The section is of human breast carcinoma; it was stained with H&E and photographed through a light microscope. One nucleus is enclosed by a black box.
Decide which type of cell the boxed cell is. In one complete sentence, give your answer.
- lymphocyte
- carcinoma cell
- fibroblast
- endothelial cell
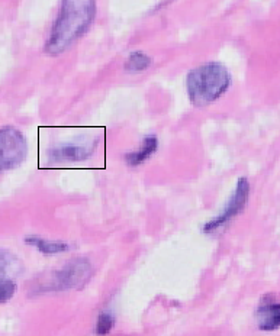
On this particular slide, the boxed cell is a fibroblast.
